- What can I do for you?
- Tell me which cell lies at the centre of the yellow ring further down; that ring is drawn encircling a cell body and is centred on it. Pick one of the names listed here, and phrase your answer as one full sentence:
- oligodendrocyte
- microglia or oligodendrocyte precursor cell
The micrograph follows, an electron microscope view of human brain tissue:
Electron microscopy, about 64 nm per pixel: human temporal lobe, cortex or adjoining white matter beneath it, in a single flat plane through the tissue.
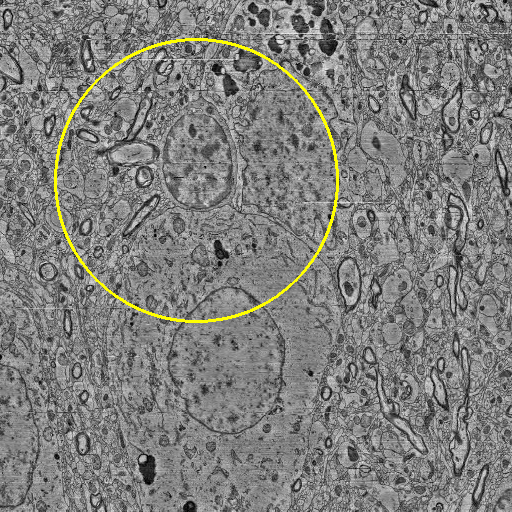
The cell whose body lies at the centre of the yellow ring is an oligodendrocyte.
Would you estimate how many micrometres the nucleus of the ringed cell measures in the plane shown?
Approximately 7 x 5 micrometres in this plane.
